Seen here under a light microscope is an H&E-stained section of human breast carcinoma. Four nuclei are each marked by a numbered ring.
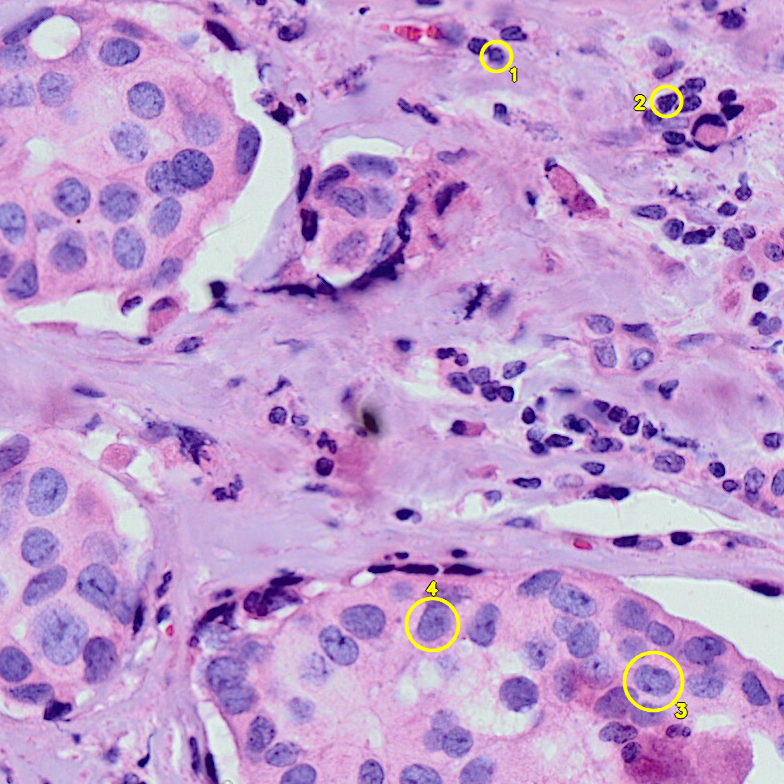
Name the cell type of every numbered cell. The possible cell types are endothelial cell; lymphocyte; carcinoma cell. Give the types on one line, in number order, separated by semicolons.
lymphocyte; lymphocyte; carcinoma cell; carcinoma cell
